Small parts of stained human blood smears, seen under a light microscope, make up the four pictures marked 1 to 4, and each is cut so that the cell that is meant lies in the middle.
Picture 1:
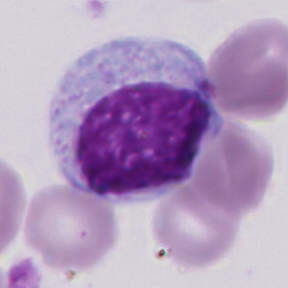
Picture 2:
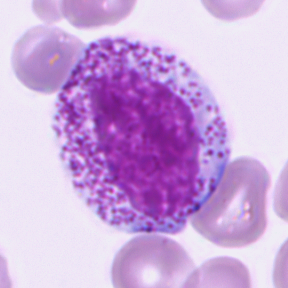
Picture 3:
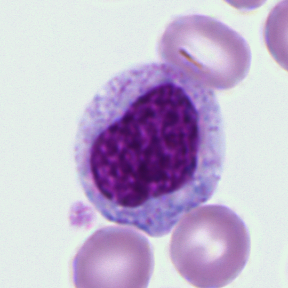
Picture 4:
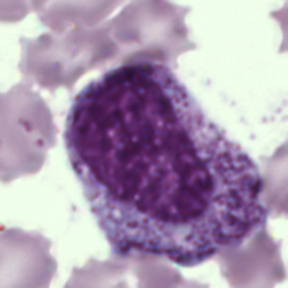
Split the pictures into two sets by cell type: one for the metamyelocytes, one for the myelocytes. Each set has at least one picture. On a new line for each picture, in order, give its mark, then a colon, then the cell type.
1: myelocyte
2: myelocyte
3: metamyelocyte
4: myelocyte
